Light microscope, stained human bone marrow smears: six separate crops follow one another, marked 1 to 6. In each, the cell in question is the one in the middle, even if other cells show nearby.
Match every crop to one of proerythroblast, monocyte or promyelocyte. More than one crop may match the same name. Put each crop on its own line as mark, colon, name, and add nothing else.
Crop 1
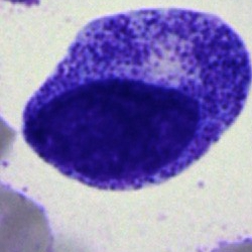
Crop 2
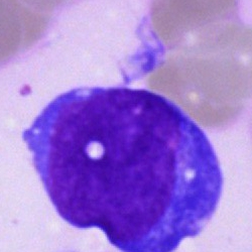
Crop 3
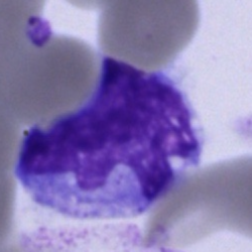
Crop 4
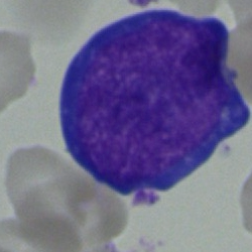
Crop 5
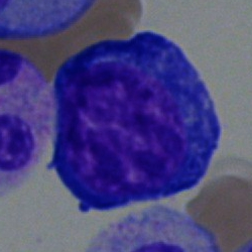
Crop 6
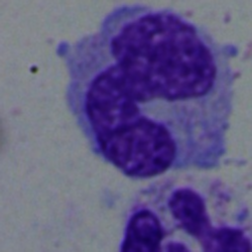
1: promyelocyte
2: proerythroblast
3: monocyte
4: proerythroblast
5: proerythroblast
6: monocyte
